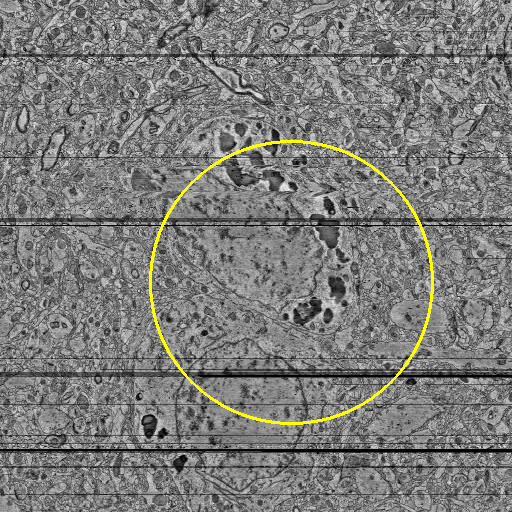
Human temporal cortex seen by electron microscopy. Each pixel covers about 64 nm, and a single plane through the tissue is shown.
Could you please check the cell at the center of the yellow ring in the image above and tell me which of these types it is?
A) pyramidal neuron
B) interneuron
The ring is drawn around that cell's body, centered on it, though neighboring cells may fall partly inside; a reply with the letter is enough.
B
